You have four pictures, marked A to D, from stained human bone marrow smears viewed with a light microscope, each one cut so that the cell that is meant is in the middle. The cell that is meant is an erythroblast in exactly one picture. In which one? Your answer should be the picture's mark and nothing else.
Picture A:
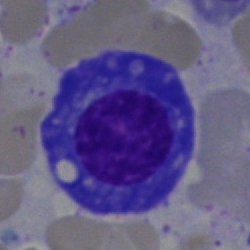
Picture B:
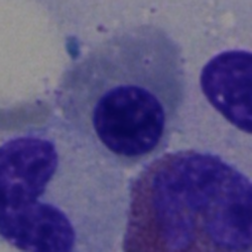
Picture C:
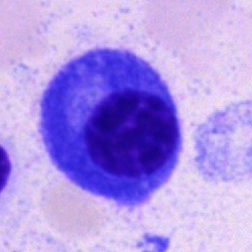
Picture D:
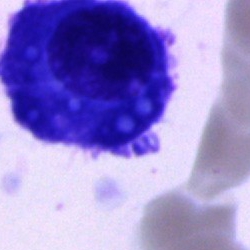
B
